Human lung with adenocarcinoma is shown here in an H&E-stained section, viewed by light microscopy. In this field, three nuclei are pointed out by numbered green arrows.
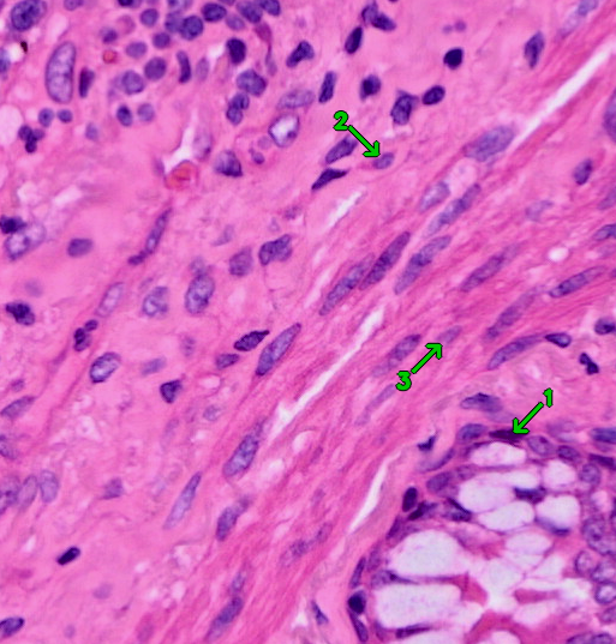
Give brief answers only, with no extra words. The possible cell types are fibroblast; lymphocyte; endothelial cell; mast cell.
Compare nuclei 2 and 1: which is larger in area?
1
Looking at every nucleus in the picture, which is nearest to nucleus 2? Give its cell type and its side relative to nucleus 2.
a fibroblast; to the left of nucleus 2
